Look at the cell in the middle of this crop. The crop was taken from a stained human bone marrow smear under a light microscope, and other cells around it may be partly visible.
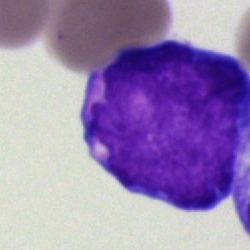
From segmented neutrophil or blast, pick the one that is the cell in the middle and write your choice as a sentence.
The cell centered in this field of view is a blast.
